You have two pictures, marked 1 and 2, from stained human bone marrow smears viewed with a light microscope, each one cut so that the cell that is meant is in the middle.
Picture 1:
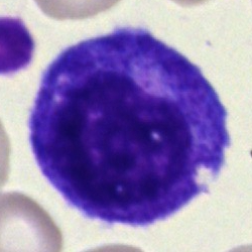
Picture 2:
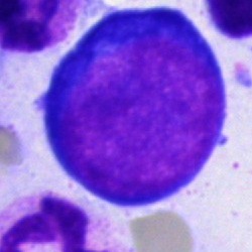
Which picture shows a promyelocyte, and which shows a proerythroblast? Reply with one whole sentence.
The cell in picture 1 is a promyelocyte, and the one in picture 2 is a proerythroblast.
